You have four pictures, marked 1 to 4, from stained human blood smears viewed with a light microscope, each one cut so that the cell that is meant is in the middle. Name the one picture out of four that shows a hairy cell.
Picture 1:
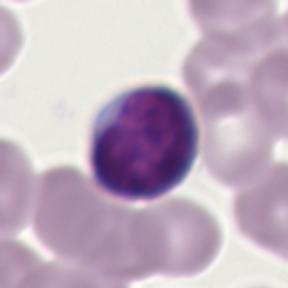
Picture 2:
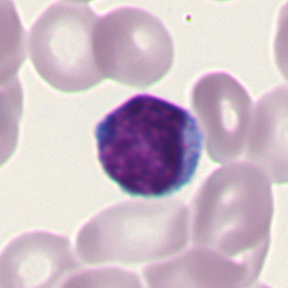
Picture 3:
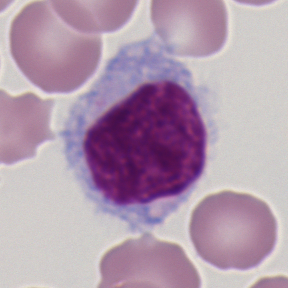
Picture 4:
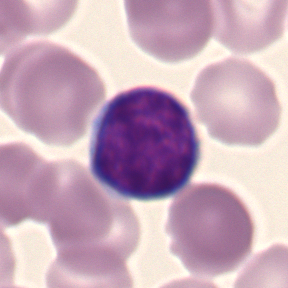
3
